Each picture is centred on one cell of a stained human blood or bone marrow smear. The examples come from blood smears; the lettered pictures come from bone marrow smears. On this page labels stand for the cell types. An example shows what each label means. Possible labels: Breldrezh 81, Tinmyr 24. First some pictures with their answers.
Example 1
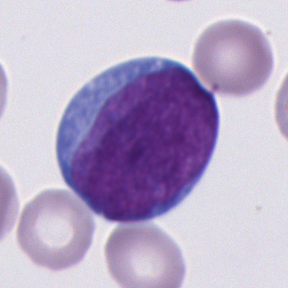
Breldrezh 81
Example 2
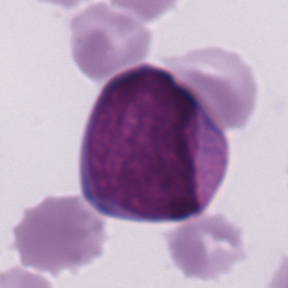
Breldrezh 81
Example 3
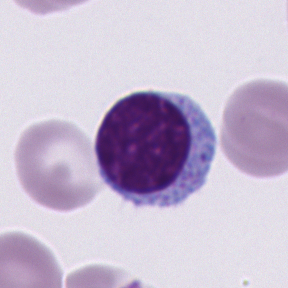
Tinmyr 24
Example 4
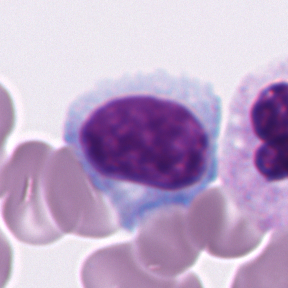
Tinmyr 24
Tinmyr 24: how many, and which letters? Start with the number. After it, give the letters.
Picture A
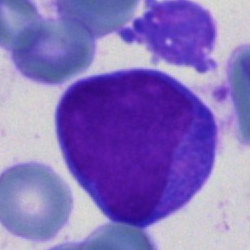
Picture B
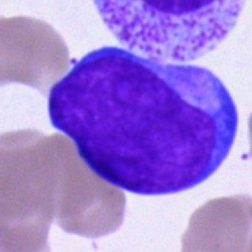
0, none of them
